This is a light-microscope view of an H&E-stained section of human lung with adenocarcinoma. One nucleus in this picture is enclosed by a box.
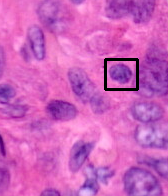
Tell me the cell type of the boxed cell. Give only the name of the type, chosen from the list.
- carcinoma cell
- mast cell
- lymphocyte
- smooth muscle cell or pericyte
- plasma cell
lymphocyte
